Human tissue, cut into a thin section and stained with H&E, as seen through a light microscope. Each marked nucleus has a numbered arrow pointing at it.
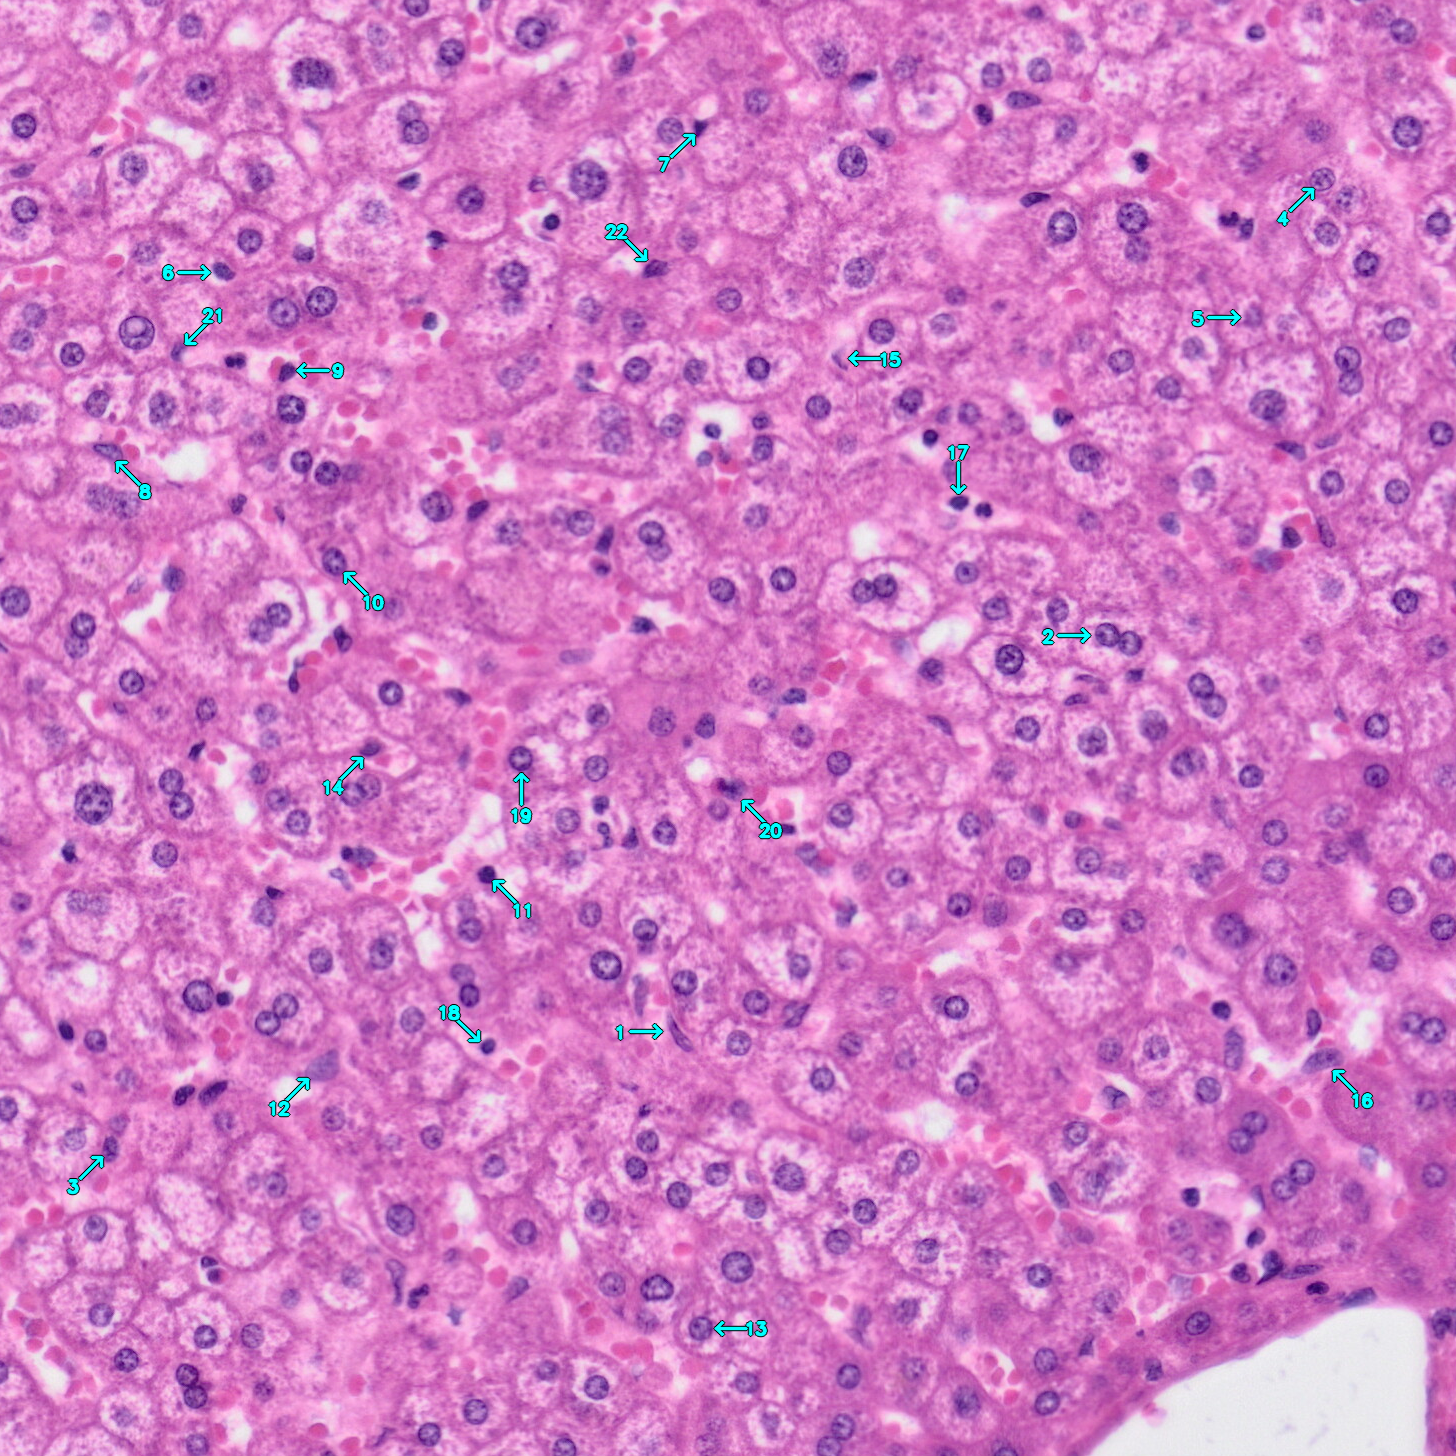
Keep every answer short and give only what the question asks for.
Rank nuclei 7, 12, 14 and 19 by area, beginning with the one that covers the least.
7, 14, 19, 12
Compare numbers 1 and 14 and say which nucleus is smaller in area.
14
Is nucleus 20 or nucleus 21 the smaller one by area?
21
